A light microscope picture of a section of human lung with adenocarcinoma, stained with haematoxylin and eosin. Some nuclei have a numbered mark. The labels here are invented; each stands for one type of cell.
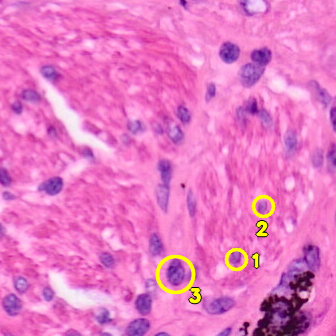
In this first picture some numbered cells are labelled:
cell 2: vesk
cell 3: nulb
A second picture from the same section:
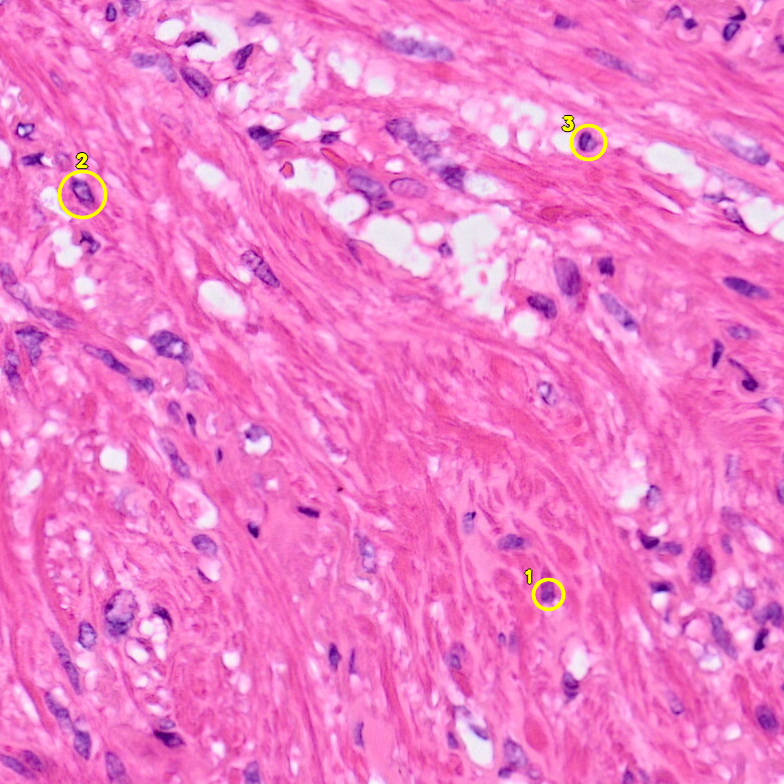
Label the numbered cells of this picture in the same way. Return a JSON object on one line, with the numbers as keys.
{"1": "vesk", "2": "vesk", "3": "nulb"}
